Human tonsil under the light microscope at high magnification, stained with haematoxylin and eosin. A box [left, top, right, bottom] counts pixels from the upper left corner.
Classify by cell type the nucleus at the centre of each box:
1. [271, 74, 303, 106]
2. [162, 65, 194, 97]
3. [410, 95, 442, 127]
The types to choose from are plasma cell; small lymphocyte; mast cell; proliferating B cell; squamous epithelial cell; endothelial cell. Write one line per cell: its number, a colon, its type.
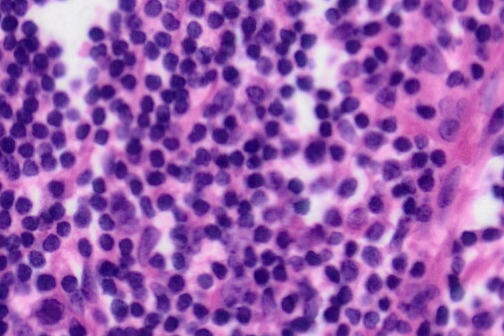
1: small lymphocyte
2: small lymphocyte
3: endothelial cell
